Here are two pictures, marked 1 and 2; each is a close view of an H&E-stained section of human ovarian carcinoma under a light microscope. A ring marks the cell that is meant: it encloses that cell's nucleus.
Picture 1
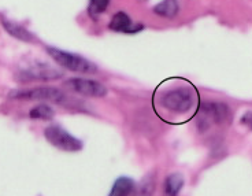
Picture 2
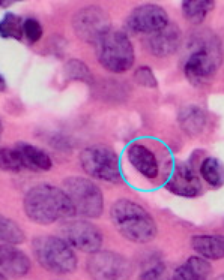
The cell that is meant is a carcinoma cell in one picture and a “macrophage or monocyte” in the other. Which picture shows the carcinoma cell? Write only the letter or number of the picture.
1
